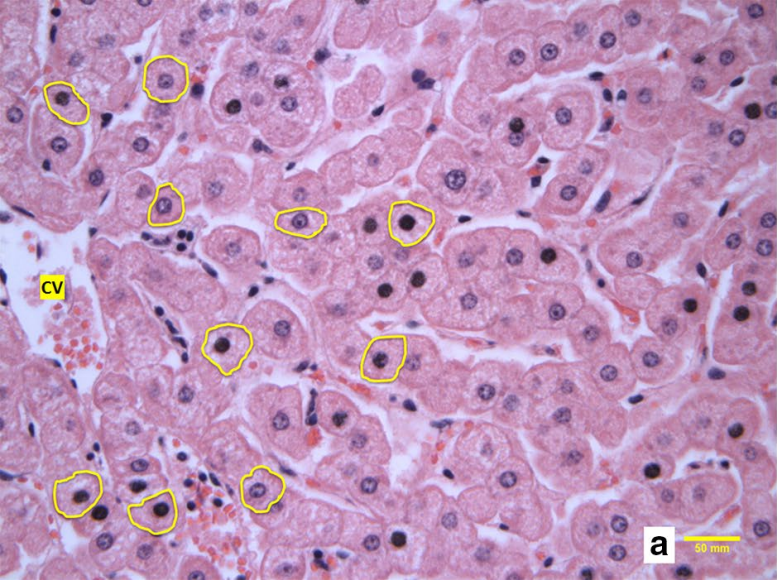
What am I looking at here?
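This is liver tissue near a central vein, made up mostly of hepatocytes arranged in cords. The hepatocytes are large, polygonal cells with abundant pink, finely granular cytoplasm. Each has a round nucleus in the middle, often with a small dark nucleolus, and some nuclei appear very dark and dense. Between the cords run narrow clear spaces, the sinusoids, where small dark elongated nuclei of lining cells and scattered red blood cells can be seen. At the left edge, a wide lumen containing red blood cells marks the central vein.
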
